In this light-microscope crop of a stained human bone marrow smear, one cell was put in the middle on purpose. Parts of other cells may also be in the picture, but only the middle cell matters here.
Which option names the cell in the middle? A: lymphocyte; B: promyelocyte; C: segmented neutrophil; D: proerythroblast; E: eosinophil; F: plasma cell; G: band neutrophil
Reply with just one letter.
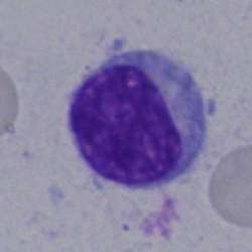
A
